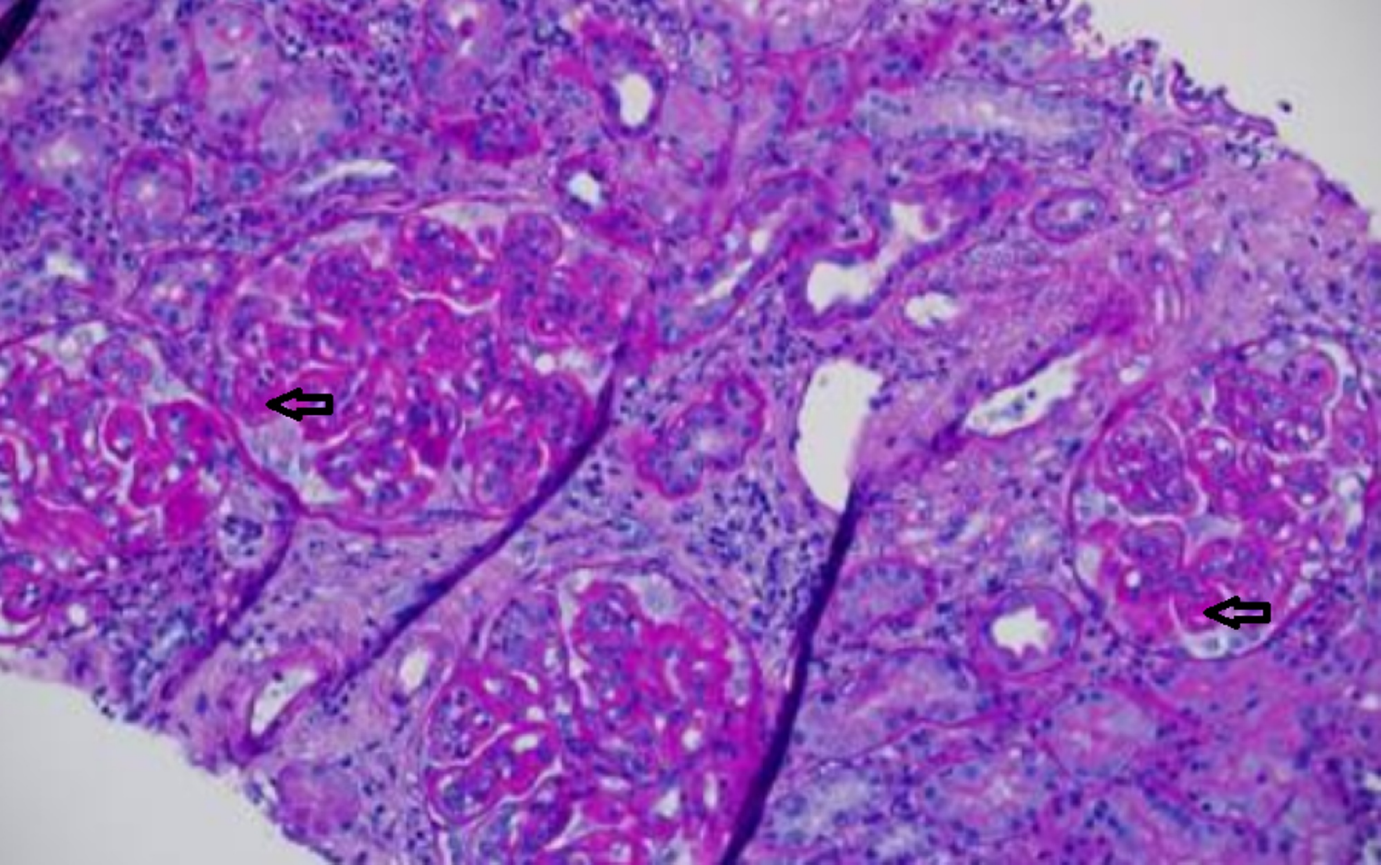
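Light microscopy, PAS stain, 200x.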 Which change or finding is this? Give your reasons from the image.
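Glomerulonephritis. Several glomeruli are large and crowded with nuclei. The glomerular tufts are lobulated and nearly fill their capsules. The surrounding interstitium holds many small dark inflammatory nuclei.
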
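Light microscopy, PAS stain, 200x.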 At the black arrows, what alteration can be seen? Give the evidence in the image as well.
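Thickened capillary walls. The arrows point into enlarged, lobulated glomeruli. The capillary loops have broad, deep magenta outlines.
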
